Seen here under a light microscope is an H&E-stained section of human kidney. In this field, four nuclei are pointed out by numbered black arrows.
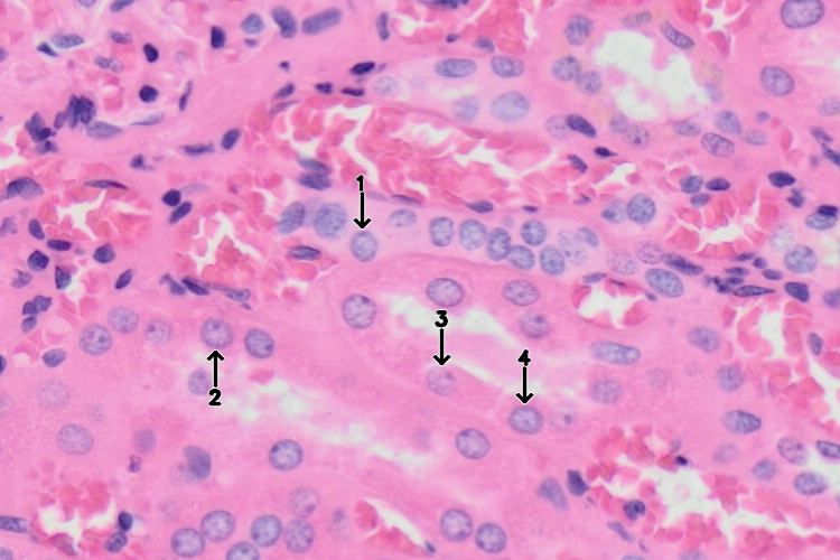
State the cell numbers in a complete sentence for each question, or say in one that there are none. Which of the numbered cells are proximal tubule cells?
The cells bearing the numbers 2, 3 and 4 are proximal tubule cells.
